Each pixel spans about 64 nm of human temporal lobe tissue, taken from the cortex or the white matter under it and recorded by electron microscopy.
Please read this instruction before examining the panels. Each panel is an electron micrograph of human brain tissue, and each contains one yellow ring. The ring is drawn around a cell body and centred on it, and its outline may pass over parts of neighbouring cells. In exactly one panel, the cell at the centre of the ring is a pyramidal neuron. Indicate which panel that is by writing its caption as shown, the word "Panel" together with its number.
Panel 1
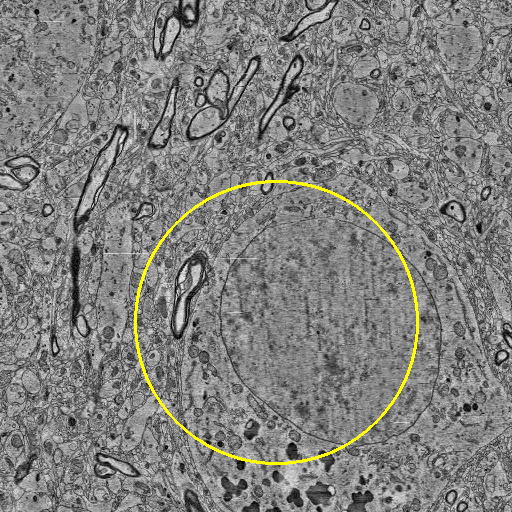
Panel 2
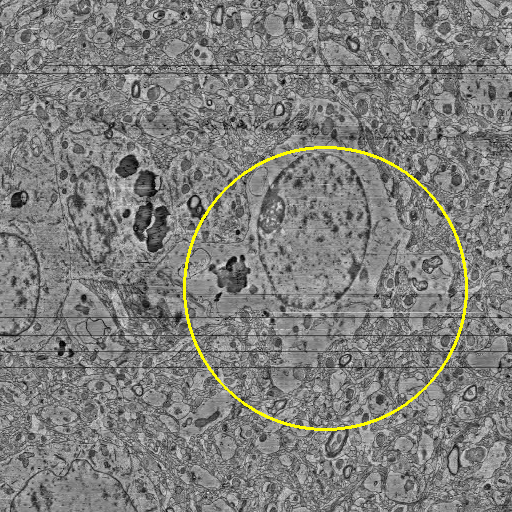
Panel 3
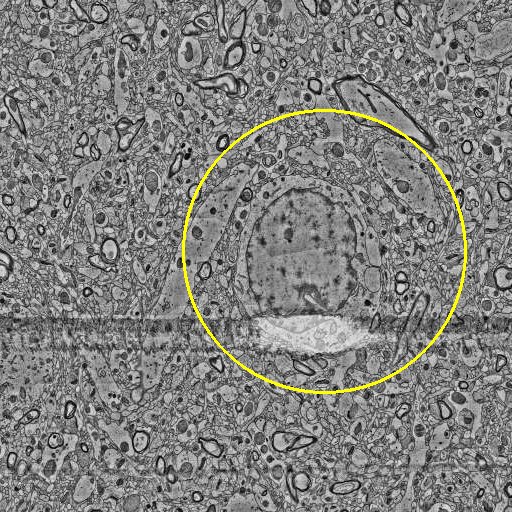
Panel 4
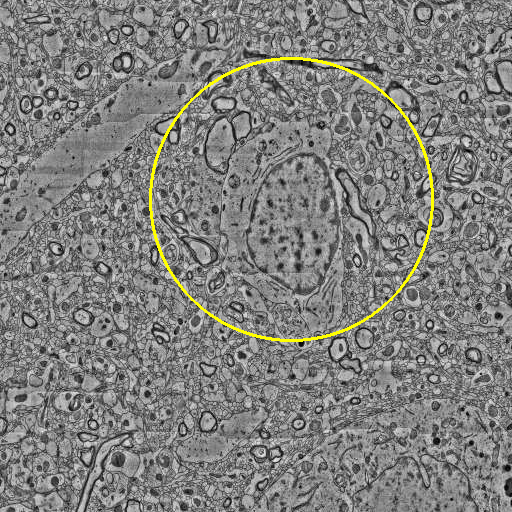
Panel 1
